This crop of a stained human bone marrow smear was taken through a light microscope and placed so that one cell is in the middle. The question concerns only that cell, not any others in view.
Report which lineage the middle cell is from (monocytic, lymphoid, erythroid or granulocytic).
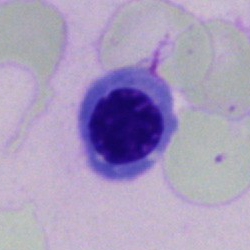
erythroid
